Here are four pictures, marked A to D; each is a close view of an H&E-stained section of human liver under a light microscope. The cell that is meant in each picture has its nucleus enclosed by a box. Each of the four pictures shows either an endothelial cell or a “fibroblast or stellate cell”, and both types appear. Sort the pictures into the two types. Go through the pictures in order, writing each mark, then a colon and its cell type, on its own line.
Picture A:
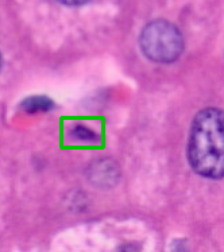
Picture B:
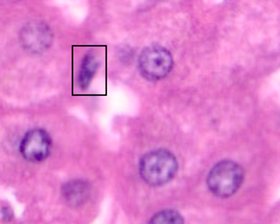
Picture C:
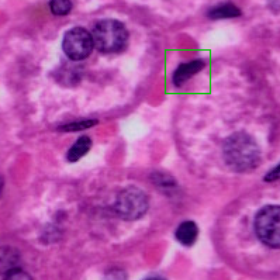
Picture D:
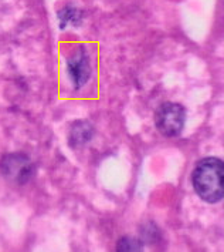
A: fibroblast or stellate cell
B: fibroblast or stellate cell
C: endothelial cell
D: endothelial cell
